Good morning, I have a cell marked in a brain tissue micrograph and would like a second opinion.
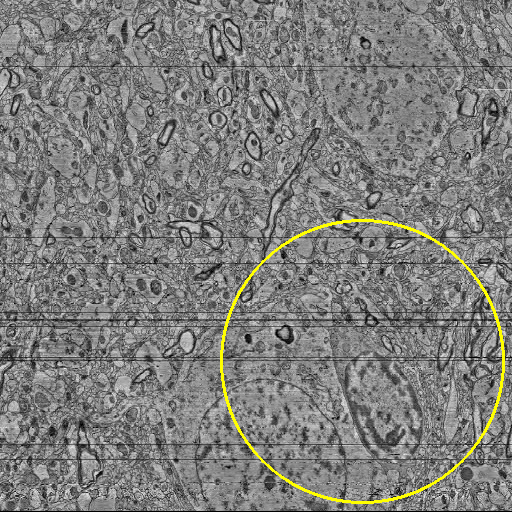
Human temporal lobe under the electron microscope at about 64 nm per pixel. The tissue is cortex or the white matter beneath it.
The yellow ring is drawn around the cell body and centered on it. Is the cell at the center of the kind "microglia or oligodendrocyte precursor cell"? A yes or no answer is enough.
no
